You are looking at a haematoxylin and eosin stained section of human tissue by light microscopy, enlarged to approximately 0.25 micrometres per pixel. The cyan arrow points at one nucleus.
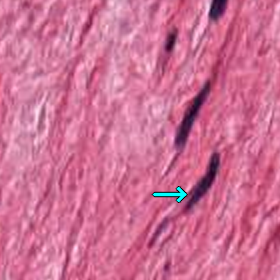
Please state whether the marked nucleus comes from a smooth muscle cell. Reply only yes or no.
yes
